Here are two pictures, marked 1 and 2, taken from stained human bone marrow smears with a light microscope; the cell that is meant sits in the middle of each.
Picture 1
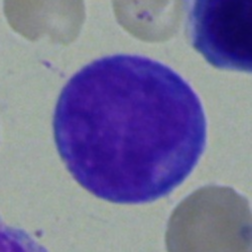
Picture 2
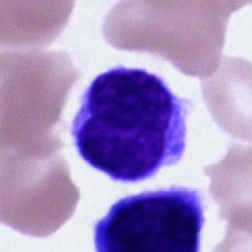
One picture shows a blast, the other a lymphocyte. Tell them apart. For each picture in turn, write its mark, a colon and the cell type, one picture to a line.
1: blast
2: lymphocyte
